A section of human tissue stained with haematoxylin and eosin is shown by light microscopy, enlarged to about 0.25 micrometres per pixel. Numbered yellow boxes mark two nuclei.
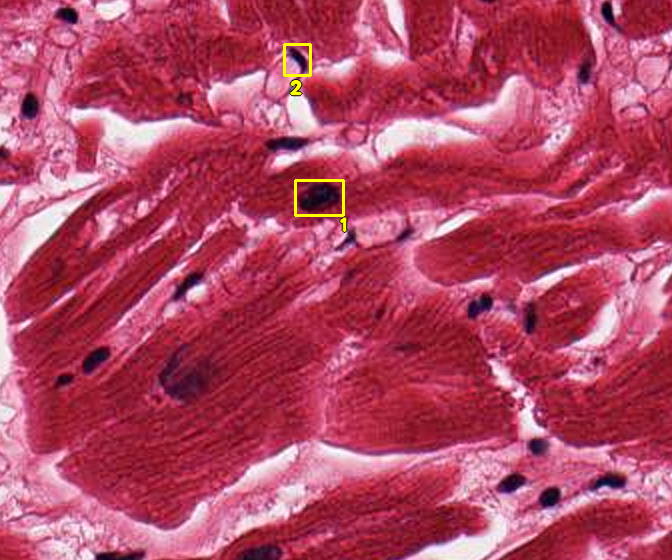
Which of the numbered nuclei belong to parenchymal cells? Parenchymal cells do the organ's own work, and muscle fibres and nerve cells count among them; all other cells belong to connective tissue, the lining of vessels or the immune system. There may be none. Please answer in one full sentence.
The cell to which nucleus 1 belongs is parenchymal, and it is the only such marked cell.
